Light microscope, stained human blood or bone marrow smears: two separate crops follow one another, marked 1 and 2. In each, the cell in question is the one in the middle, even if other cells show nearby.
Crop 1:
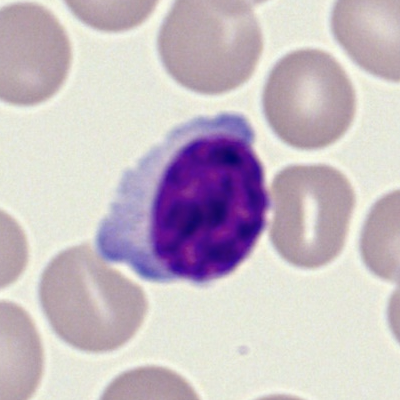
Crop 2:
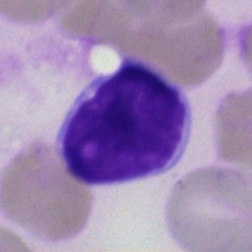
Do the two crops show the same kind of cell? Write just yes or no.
yes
